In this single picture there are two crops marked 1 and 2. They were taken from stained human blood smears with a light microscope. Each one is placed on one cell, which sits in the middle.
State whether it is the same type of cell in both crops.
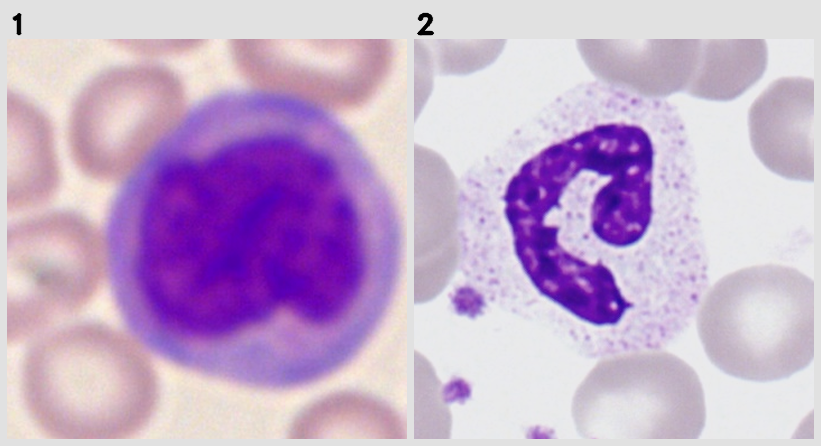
no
